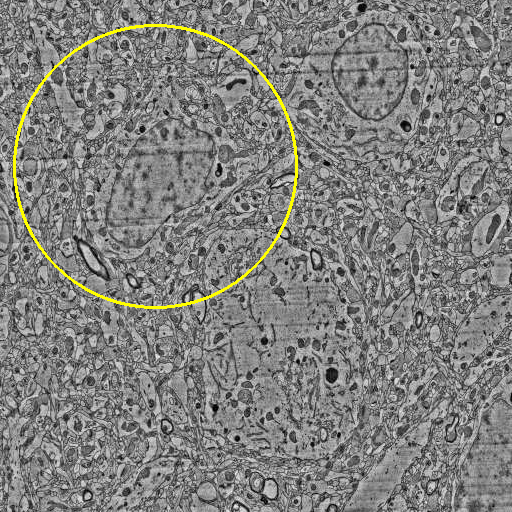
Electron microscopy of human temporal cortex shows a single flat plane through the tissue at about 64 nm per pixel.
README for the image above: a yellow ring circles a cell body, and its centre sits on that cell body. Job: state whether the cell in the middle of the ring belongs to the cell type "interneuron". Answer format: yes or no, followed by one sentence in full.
Yes, the cell sitting in the middle of the ring in the image belongs to that type.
